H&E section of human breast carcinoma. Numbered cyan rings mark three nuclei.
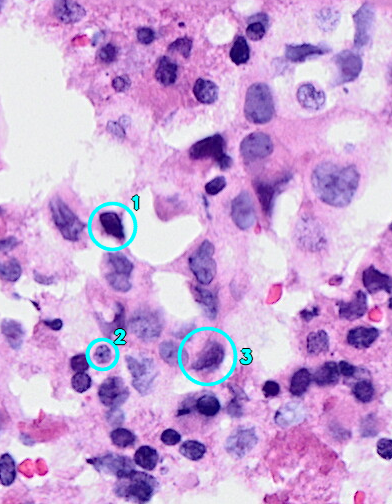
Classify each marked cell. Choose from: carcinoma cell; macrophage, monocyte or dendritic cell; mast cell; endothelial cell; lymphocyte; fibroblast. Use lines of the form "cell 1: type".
cell 1: carcinoma cell
cell 2: lymphocyte
cell 3: carcinoma cell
